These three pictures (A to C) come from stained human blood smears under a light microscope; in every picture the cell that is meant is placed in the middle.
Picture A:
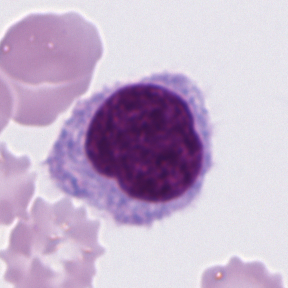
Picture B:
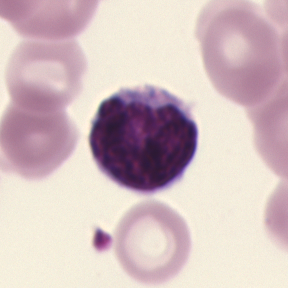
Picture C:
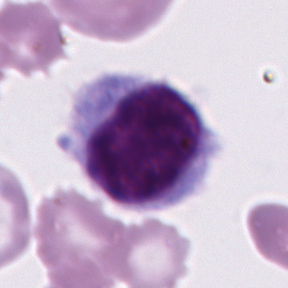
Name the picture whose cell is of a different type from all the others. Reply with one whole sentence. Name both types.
The others show hairy cells, but picture B shows a typical lymphocyte.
